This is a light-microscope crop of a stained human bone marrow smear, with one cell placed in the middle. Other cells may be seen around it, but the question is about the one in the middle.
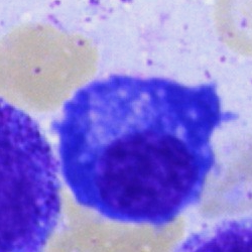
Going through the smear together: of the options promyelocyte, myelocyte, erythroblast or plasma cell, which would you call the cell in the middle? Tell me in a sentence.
The centered cell in this crop is a plasma cell.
